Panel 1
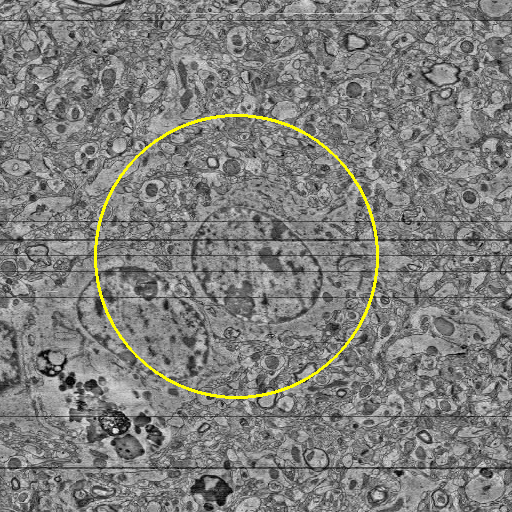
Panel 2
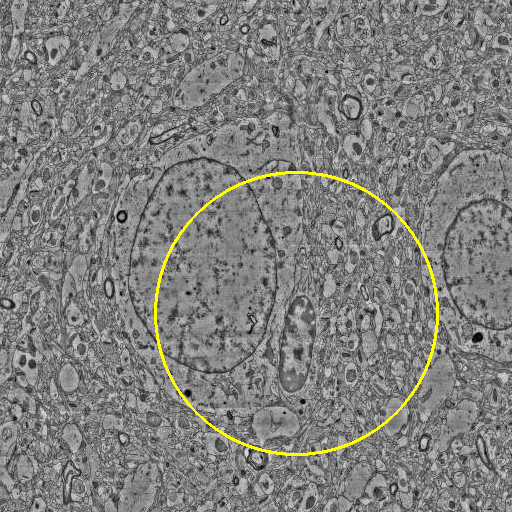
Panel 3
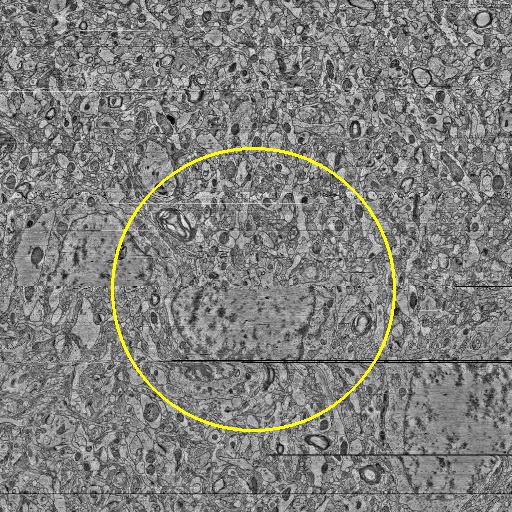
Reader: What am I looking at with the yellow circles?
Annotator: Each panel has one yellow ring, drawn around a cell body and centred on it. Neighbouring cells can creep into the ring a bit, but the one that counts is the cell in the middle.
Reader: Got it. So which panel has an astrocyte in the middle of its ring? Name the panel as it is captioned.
Panel 1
